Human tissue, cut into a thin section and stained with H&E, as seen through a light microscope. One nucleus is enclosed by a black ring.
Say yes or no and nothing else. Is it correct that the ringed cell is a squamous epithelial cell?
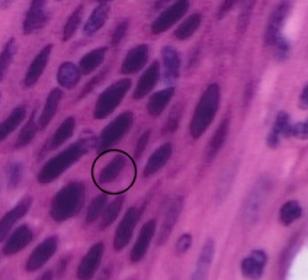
yes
